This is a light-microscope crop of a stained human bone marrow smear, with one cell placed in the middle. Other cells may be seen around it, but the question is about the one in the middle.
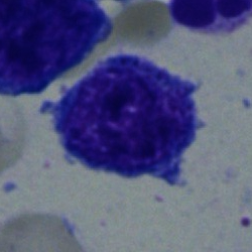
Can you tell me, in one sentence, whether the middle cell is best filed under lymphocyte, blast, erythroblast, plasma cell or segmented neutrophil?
Within this crop, a blast occupies the central position.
